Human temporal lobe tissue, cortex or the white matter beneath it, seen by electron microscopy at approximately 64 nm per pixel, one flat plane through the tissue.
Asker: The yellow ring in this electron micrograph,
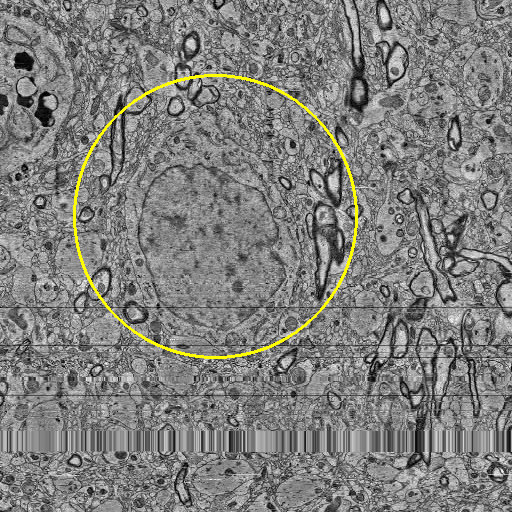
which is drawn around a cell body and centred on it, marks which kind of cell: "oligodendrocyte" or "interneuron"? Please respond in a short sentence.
The marked cell is an interneuron.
